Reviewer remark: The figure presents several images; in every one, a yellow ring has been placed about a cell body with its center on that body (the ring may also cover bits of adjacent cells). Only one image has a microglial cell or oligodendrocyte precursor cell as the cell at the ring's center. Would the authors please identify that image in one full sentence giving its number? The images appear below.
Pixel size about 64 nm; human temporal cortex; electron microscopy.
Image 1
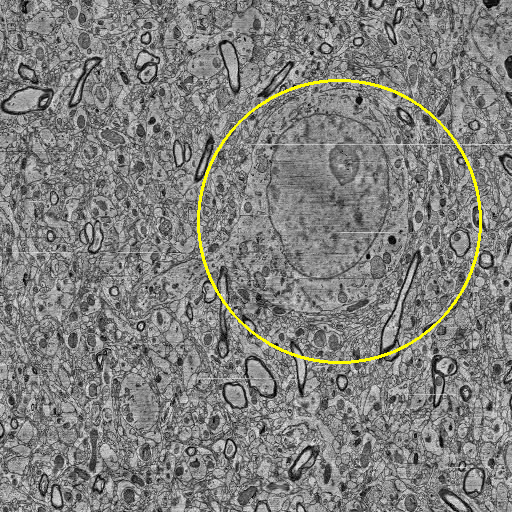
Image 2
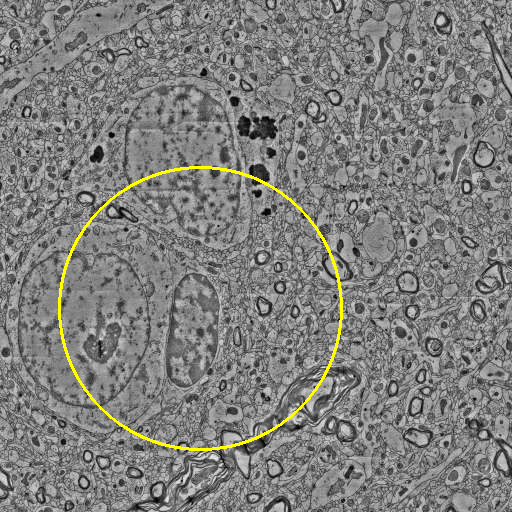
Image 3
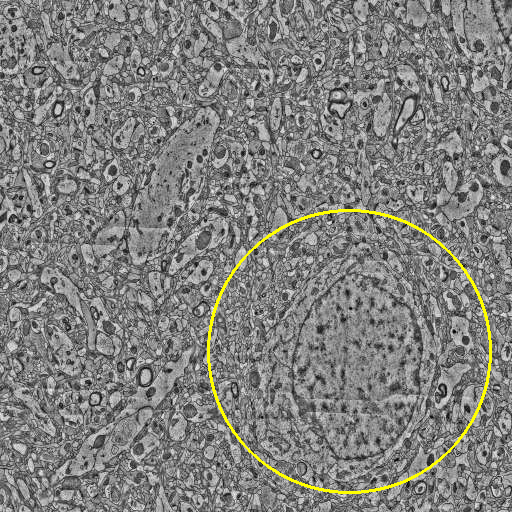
The ring's central cell in image 2 is the one the question describes.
